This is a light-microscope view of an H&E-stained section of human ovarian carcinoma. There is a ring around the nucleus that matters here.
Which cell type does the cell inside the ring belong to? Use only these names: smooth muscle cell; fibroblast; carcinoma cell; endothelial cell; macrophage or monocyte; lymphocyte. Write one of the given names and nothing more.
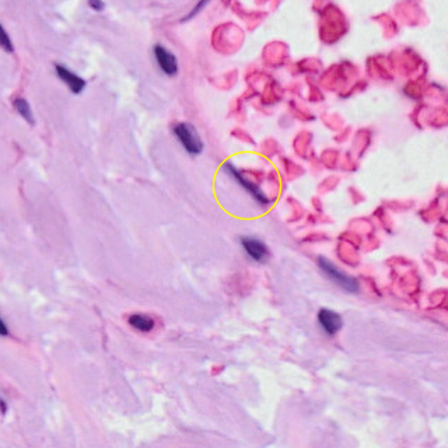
endothelial cell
